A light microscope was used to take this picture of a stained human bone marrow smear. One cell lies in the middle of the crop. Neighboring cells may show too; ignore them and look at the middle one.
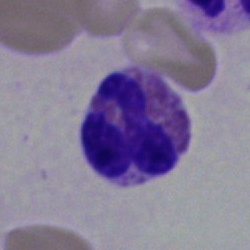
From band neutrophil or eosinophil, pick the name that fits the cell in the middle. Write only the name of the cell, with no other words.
eosinophil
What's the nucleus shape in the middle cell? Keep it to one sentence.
It is worth mentioning that the nucleus carries two or more lobes.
